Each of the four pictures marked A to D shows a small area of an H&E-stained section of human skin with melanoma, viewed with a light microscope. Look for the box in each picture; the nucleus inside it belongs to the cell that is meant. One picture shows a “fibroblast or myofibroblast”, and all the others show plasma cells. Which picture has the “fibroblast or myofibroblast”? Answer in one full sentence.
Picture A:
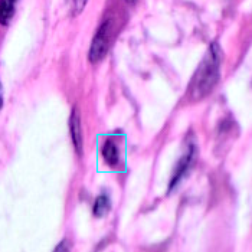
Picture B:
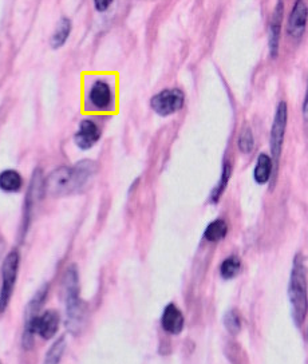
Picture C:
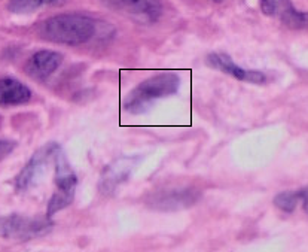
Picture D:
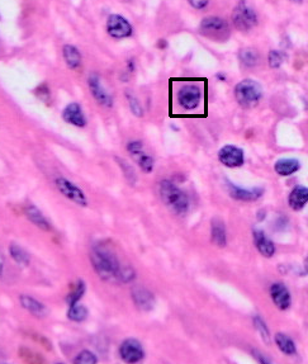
The picture with the “fibroblast or myofibroblast” is C.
